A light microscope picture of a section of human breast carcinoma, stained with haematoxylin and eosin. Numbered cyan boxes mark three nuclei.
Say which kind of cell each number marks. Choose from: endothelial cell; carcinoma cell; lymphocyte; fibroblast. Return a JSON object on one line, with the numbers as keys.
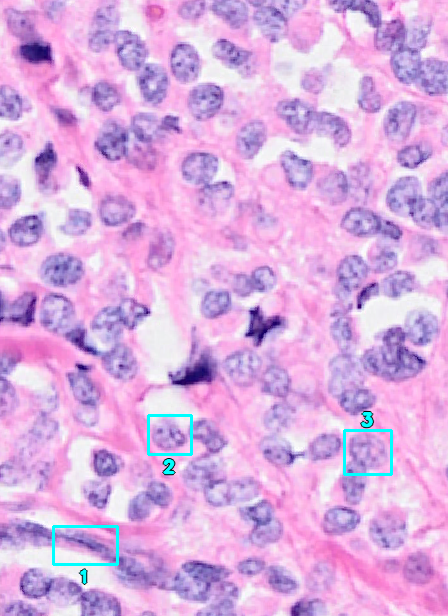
{"1": "endothelial cell", "2": "carcinoma cell", "3": "carcinoma cell"}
